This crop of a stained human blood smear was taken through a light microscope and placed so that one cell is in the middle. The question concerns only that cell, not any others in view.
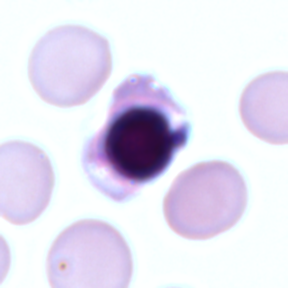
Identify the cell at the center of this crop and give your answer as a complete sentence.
By type, the central cell of the crop is a normoblast.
